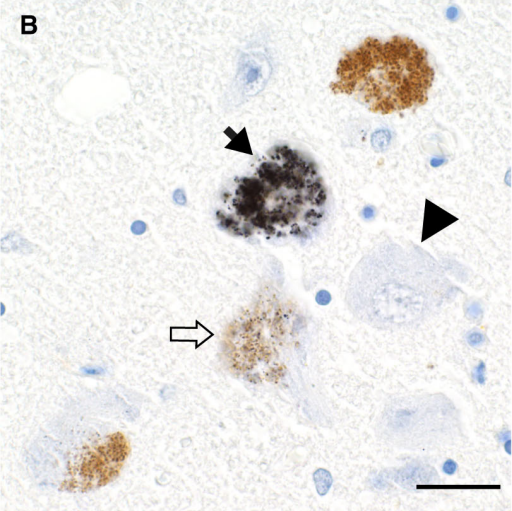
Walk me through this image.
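Several large neurons lie in a pale neuropil with scattered small blue glial nuclei. One neuron in the centre is densely filled with coarse black grains, while the cell just below it carries brown pigment with only scattered black dots. Other neurons, at the top right and lower left, hold yellow-brown granular pigment without black grains. A neuron on the right has pale blue cytoplasm with no pigment at all and a pale nucleus.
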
